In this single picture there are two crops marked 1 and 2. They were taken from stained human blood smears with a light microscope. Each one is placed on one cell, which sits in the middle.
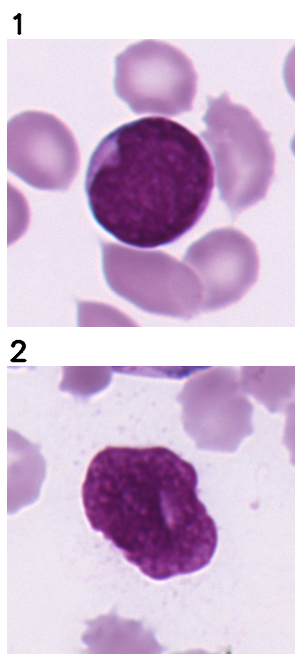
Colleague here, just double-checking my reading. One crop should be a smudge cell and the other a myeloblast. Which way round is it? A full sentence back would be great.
Crops 1 and 2 are, respectively, a myeloblast and a smudge cell.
